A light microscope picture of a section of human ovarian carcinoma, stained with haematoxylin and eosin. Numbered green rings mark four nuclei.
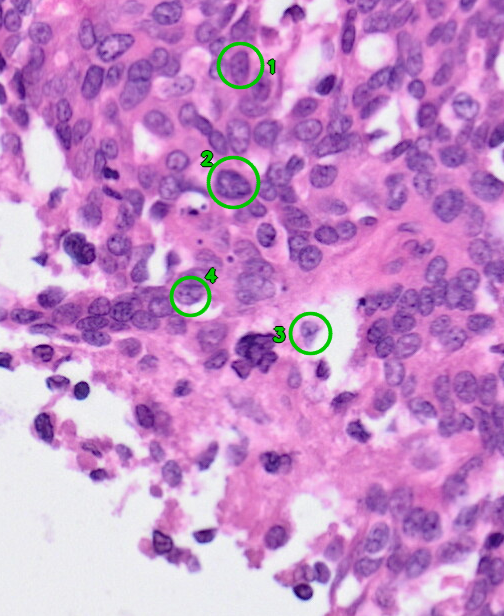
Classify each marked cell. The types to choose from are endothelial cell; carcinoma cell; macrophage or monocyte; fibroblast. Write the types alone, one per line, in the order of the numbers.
carcinoma cell
carcinoma cell
macrophage or monocyte
carcinoma cell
